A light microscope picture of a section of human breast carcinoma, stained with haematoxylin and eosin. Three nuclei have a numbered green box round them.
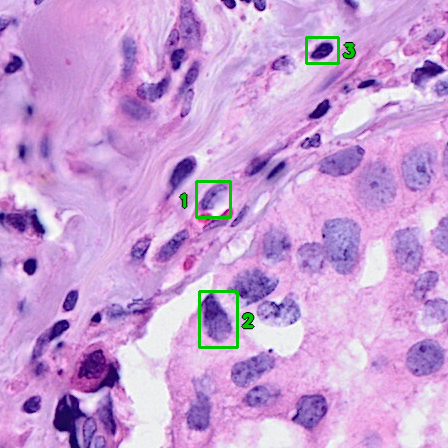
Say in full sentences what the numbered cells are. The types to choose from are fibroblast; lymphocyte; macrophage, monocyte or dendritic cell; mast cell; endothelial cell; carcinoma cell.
Cell 1 is an endothelial cell, cell 2 is a carcinoma cell and cell 3 is a lymphocyte.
